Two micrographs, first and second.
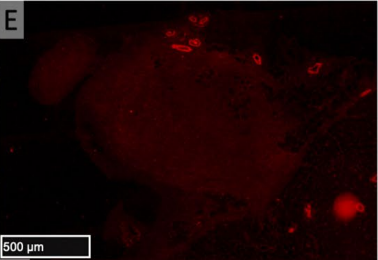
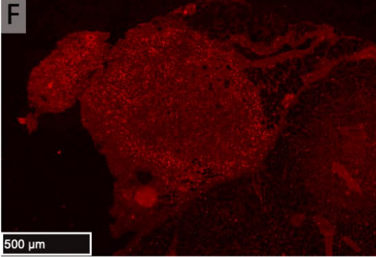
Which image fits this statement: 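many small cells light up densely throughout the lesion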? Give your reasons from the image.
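First image: the lesion is only dimly and evenly red, with no bright cells in it. On this evidence: the second image.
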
